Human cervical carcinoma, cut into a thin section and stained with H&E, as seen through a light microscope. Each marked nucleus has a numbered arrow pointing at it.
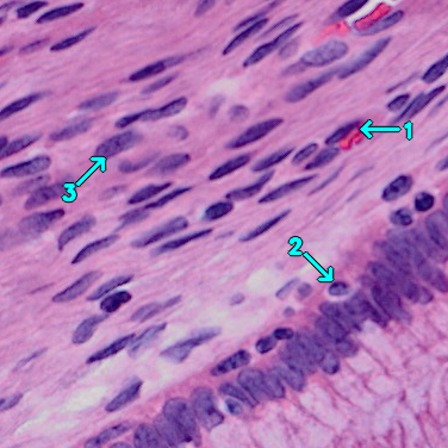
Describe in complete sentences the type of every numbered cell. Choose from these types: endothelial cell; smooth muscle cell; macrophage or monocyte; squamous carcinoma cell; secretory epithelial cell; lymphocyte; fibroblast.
Cell 1 is an endothelial cell, cell 2 is a secretory epithelial cell and cell 3 is a fibroblast.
